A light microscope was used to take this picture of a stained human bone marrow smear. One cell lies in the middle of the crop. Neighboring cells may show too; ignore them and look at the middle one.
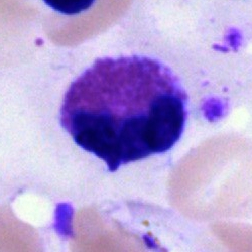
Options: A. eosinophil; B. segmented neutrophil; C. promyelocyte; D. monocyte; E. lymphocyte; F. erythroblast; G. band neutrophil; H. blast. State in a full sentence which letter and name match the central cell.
The cell centred in the crop is an eosinophil, and the correct option is thus A.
